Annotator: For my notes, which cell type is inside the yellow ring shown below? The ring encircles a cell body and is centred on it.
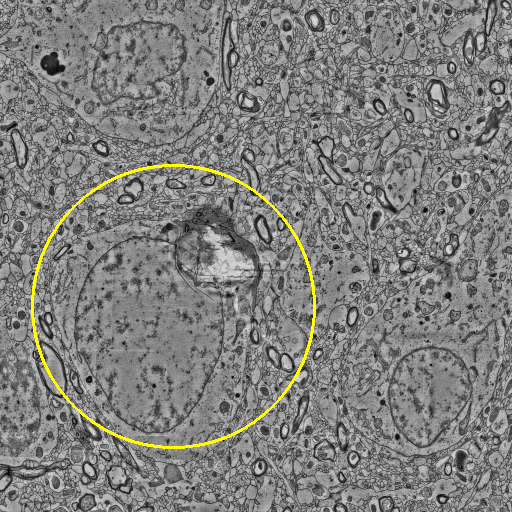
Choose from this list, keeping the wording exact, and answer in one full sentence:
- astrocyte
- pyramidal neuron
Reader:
At the centre of the yellow ring there is a pyramidal neuron, as shown in the picture.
